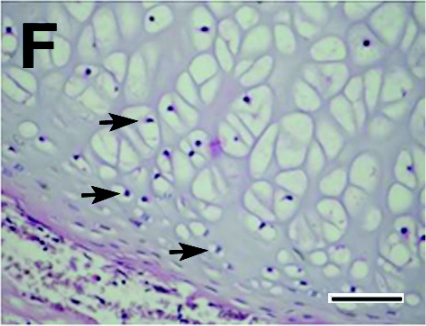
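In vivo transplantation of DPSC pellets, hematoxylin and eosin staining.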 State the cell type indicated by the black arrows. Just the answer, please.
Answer: chondrocytes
